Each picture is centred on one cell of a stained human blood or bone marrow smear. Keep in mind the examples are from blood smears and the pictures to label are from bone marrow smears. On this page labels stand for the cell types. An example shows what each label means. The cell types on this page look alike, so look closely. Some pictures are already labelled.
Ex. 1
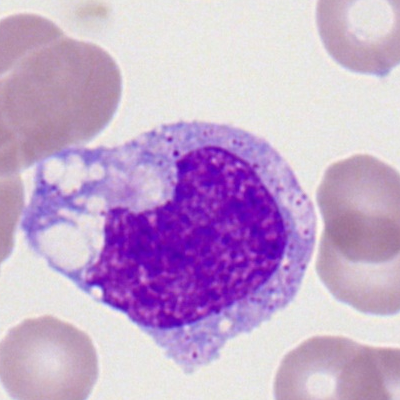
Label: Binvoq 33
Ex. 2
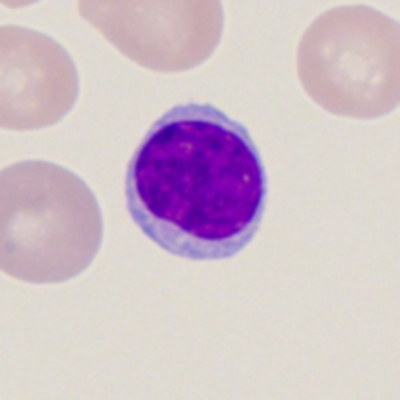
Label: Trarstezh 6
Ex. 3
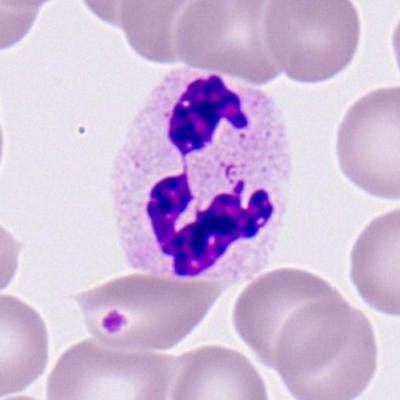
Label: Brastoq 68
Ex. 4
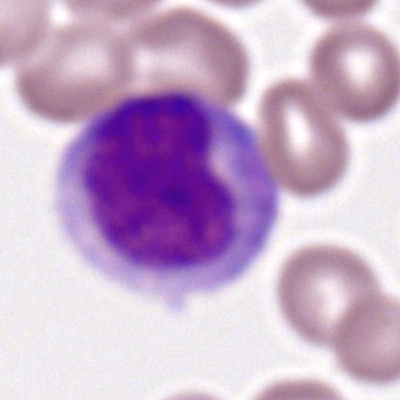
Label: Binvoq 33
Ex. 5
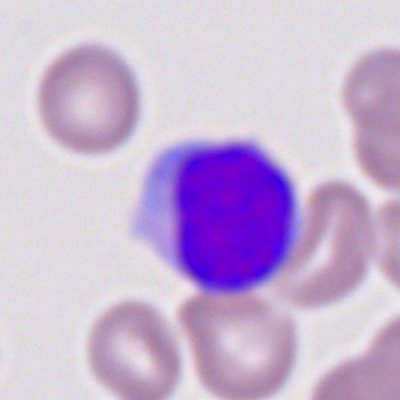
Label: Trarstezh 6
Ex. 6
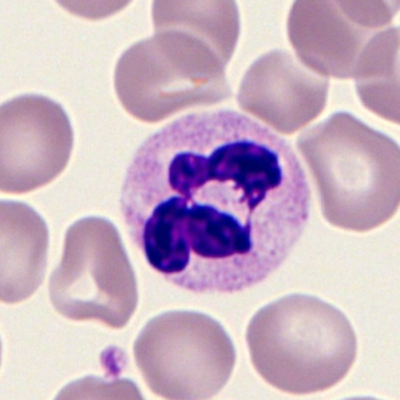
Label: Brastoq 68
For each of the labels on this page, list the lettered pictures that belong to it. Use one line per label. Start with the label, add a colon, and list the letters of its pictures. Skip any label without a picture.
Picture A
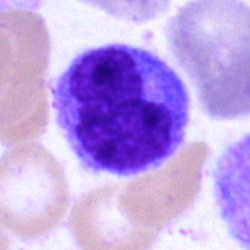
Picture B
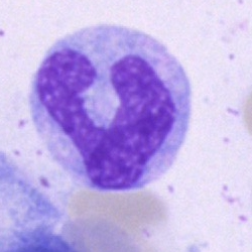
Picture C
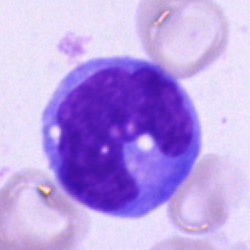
Binvoq 33: A, B, C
